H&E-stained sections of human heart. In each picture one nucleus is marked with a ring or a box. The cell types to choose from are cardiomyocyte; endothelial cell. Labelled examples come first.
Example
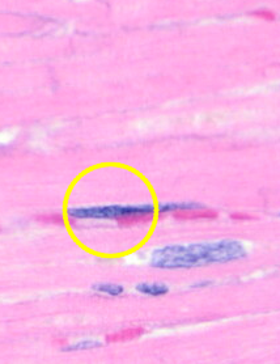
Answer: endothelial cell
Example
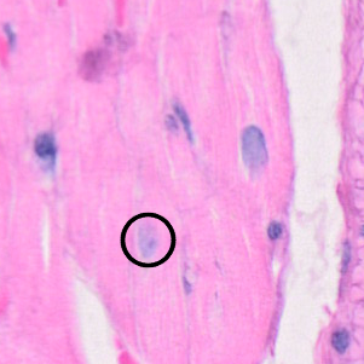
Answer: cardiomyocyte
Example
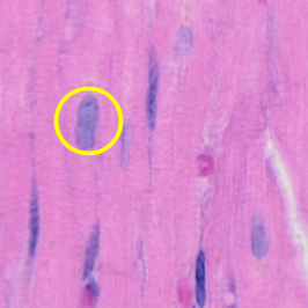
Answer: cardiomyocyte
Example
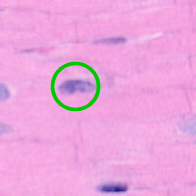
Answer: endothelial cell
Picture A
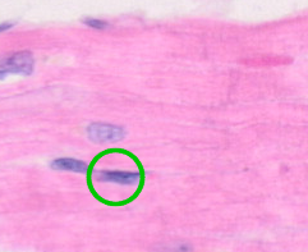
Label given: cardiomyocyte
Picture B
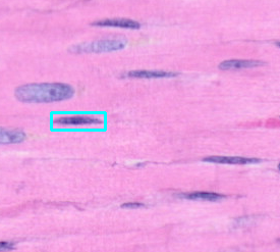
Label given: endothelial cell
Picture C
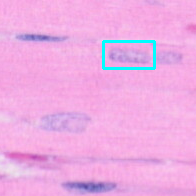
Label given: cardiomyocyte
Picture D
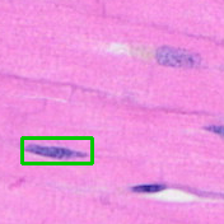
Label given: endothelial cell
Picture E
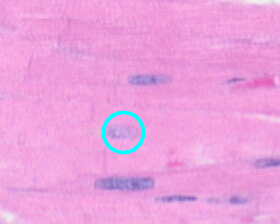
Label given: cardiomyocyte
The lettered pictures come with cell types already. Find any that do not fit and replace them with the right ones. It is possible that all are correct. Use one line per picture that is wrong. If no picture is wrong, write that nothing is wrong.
Wrong: A (cardiomyocyte); correct: endothelial cell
